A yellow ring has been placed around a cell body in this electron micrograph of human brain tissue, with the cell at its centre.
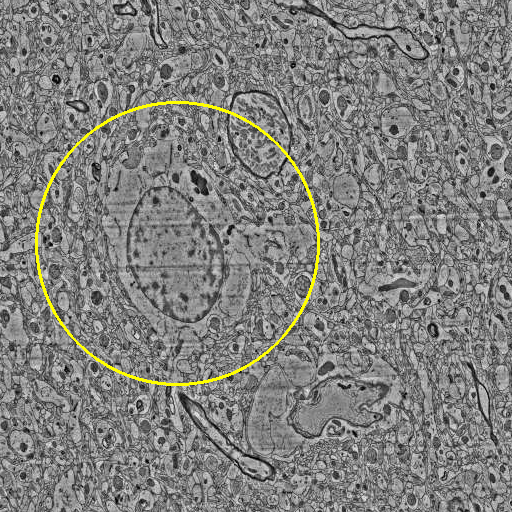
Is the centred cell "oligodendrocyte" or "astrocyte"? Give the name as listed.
astrocyte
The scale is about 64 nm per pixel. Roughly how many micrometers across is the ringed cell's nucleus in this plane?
Roughly 9 by 6 micrometres is the size of the nucleus in this plane.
